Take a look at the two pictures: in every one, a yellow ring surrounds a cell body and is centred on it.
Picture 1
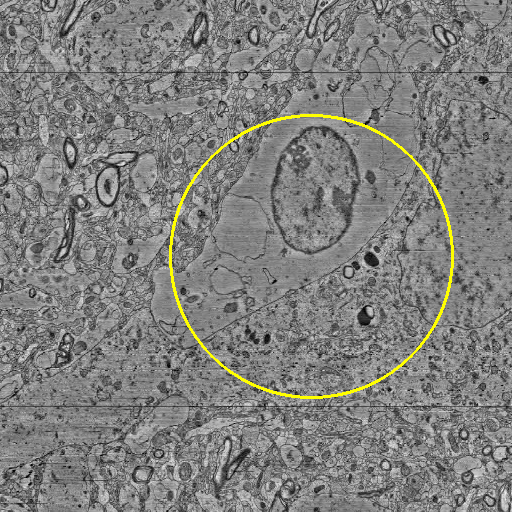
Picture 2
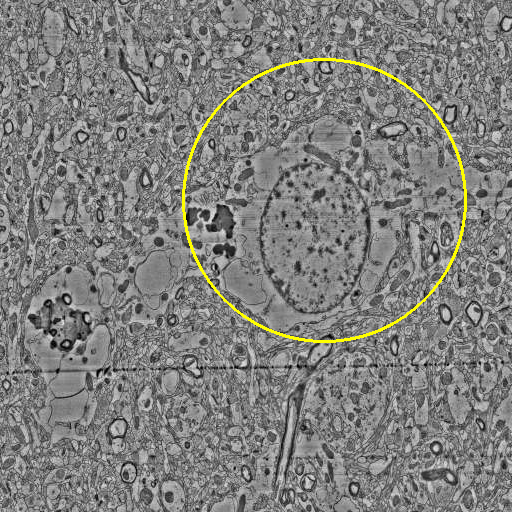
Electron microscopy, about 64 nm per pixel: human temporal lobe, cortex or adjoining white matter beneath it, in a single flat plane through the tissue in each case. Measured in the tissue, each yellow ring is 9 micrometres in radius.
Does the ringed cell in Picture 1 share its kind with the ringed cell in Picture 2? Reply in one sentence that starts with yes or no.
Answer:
Yes, the two centred cells, one per picture, are of one kind.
